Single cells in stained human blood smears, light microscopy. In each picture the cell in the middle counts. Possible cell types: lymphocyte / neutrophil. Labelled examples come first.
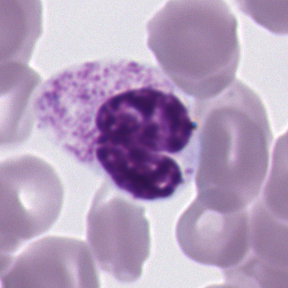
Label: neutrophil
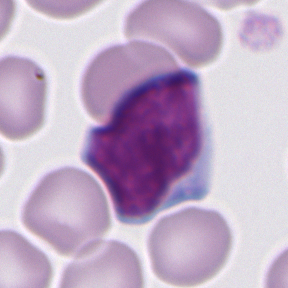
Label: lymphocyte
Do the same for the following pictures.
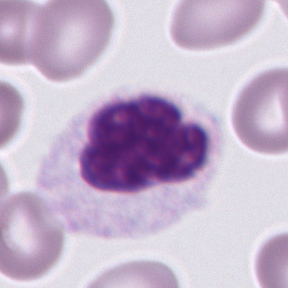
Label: neutrophil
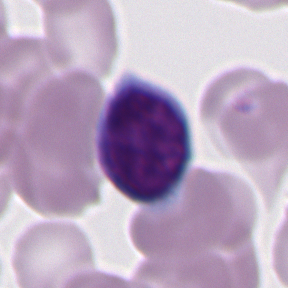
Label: lymphocyte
